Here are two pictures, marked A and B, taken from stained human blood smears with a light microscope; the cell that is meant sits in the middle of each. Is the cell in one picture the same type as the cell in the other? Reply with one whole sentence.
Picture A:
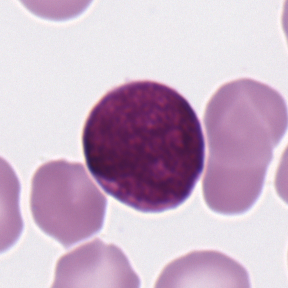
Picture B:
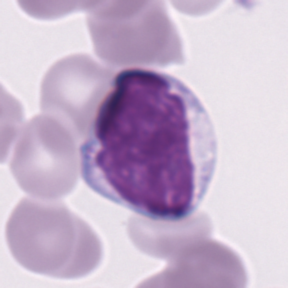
No, the types are not the same, since picture A shows a myeloblast and picture B a large granular lymphocyte.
